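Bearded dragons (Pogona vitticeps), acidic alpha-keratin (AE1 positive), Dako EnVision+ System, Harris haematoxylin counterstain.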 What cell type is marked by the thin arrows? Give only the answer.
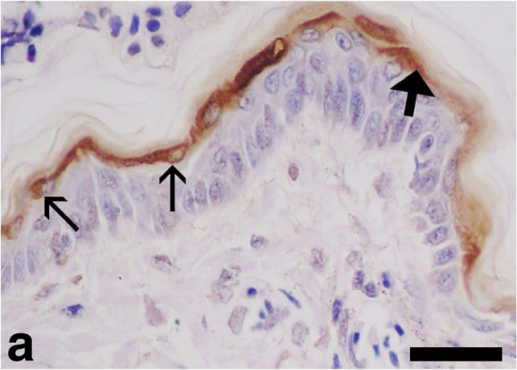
Suprabasal cells.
